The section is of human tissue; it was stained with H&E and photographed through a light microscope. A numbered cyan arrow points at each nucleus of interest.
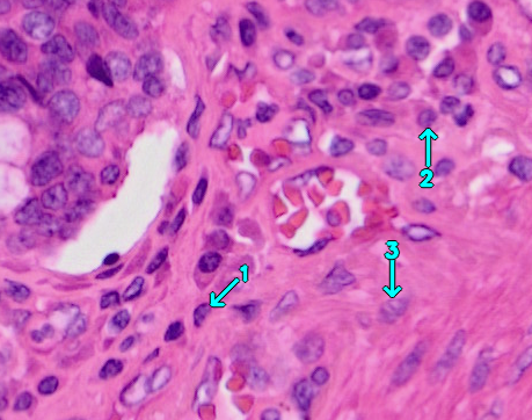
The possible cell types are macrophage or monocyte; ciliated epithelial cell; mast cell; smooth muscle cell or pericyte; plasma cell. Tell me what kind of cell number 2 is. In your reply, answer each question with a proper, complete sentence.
The cell whose nucleus carries the number 2 is a plasma cell.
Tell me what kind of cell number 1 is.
The nucleus with number 1 is that of a mast cell.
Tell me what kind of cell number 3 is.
The cell bearing label 3 corresponds to a smooth muscle cell or pericyte.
